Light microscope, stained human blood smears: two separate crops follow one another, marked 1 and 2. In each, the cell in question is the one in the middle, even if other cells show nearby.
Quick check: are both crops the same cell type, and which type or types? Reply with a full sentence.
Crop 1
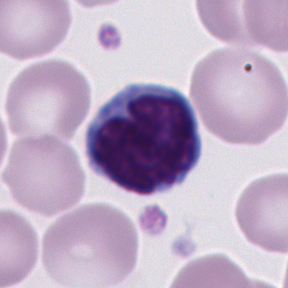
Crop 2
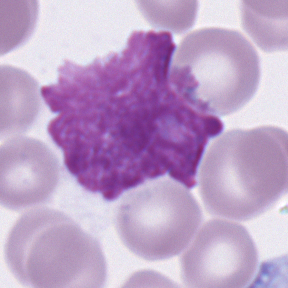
No, a typical lymphocyte is what crop 1 shows, and a smudge cell is what crop 2 shows.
